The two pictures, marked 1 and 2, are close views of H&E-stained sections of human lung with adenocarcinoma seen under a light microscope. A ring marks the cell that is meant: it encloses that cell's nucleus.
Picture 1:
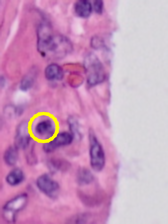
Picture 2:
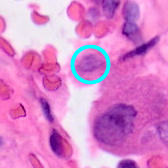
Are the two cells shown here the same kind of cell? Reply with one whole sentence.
No, picture 1 shows a lymphocyte and picture 2 shows a “macrophage or monocyte”.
